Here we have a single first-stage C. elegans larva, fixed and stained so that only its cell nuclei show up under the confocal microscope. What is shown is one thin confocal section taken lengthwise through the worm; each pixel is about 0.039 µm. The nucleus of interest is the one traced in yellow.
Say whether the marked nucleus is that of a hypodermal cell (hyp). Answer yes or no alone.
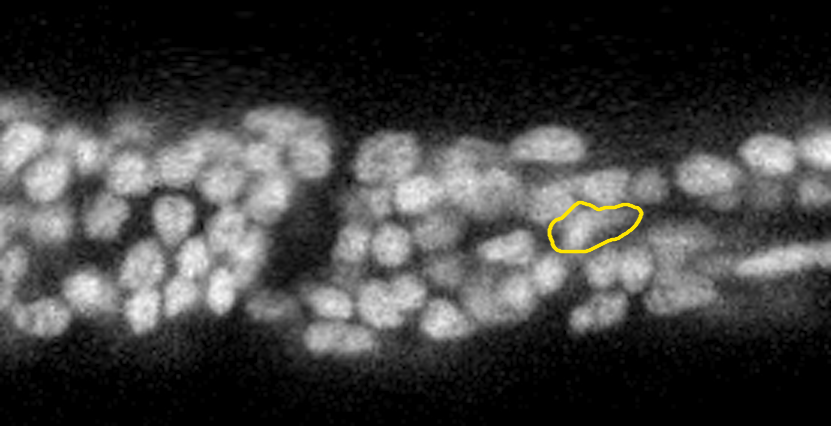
no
